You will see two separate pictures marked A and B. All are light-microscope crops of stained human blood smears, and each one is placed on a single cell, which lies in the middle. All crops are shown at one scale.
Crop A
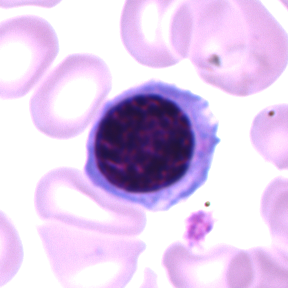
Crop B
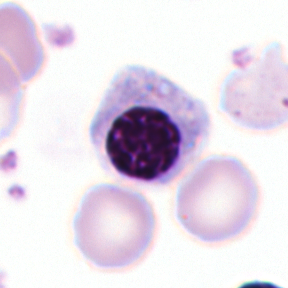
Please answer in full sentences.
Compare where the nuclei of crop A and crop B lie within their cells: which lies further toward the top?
In crop A the nucleus is shifted more toward the top.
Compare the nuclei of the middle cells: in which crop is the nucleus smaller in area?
Smaller is the nucleus in crop B, and the other is about 2 times as large in area.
